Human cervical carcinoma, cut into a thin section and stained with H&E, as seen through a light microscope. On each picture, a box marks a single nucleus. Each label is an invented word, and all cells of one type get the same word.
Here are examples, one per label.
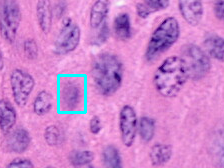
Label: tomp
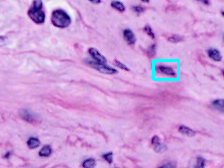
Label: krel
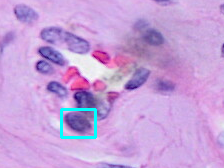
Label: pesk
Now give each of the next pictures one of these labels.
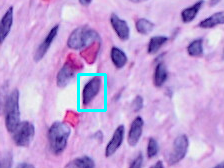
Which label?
pesk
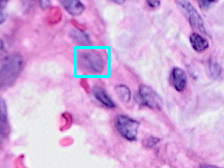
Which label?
pesk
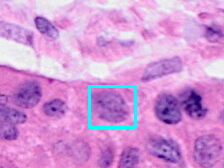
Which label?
tomp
